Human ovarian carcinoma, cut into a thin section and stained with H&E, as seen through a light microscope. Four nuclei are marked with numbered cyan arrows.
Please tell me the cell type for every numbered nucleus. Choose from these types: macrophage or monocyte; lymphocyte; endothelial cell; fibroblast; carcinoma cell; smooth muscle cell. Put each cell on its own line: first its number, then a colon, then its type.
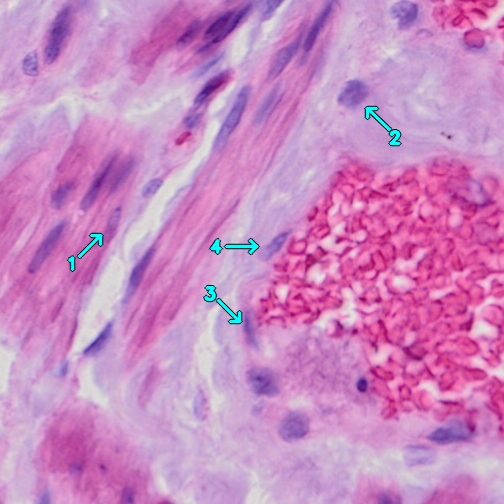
1: smooth muscle cell
2: fibroblast
3: endothelial cell
4: endothelial cell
